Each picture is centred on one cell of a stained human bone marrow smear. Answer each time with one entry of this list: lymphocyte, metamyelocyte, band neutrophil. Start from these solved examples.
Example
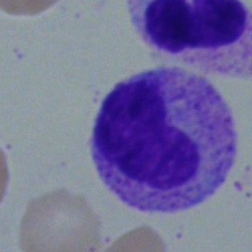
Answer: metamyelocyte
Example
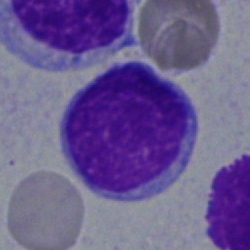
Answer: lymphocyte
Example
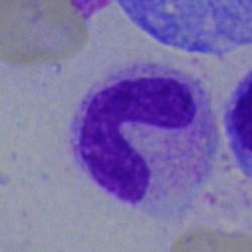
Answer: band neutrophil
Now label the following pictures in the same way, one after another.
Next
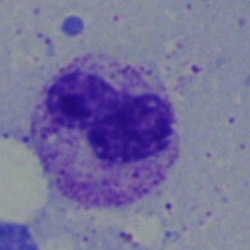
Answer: metamyelocyte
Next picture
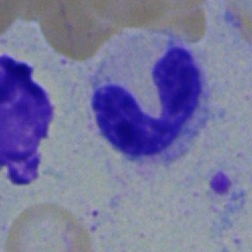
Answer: band neutrophil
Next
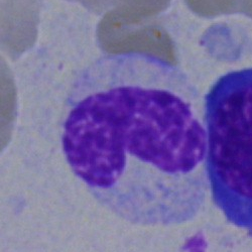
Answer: metamyelocyte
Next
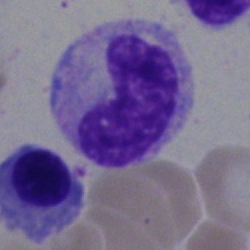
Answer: band neutrophil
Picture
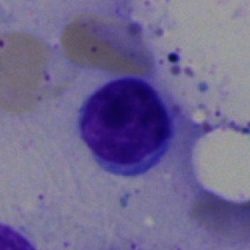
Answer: lymphocyte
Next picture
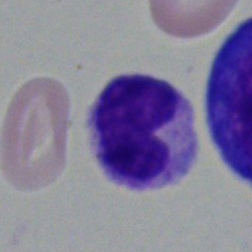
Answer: metamyelocyte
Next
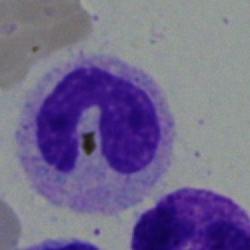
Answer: band neutrophil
